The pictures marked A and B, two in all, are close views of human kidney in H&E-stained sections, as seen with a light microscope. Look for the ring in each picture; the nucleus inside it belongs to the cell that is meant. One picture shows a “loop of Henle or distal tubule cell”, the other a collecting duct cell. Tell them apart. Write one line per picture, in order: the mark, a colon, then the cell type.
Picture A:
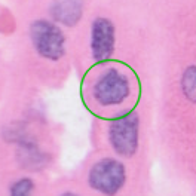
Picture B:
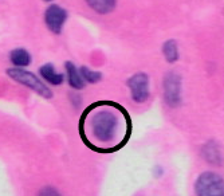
A: collecting duct cell
B: loop of Henle or distal tubule cell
